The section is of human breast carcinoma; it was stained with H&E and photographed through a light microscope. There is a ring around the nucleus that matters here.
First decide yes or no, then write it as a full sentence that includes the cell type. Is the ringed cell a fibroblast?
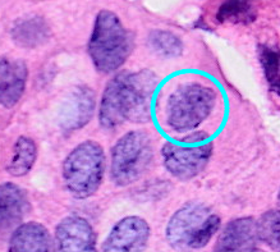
No, the ringed cell is not to be called a fibroblast; it is a carcinoma cell.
